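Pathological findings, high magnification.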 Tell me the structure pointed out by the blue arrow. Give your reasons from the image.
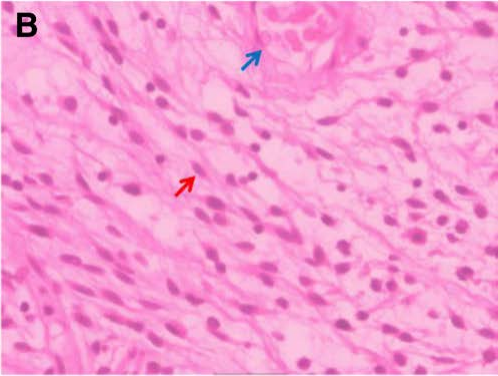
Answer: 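Thick-walled blood vessels. The arrow points to a dense, deeper pink band of wall-like tissue at the top of the field. This structure is more compact than the loose surrounding stroma.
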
